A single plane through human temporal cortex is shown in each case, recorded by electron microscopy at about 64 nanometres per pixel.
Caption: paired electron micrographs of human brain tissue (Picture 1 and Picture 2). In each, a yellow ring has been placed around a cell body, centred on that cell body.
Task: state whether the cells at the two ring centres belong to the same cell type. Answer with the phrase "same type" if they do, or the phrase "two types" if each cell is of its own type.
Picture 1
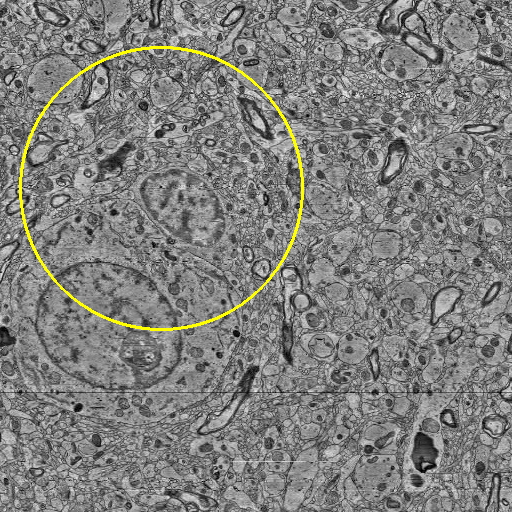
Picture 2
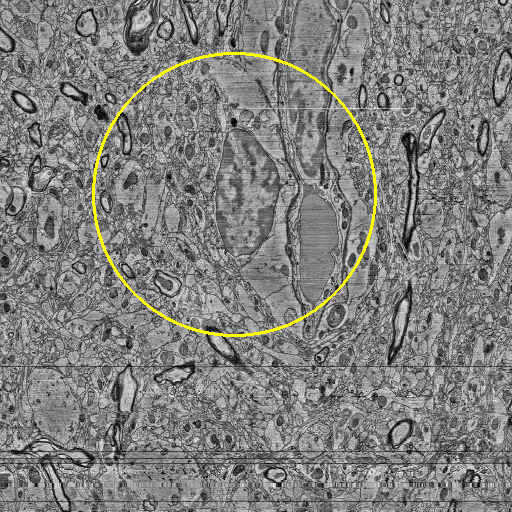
two types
